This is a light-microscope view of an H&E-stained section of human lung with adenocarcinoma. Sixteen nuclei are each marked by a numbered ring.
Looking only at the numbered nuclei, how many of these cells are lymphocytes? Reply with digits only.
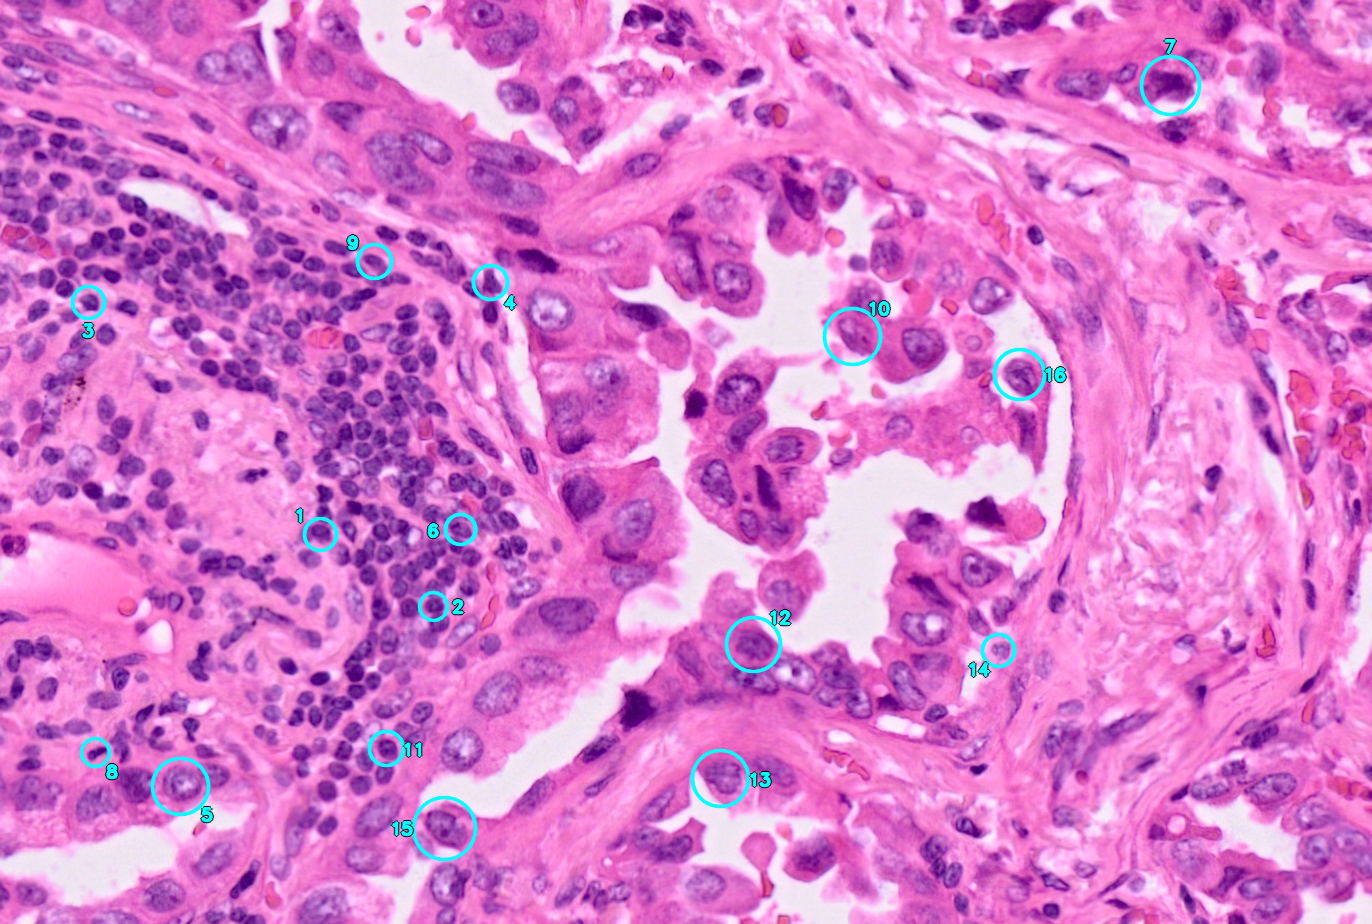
9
